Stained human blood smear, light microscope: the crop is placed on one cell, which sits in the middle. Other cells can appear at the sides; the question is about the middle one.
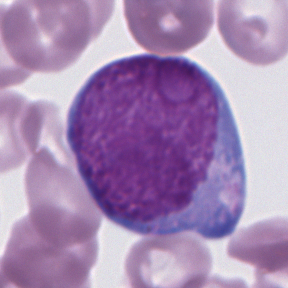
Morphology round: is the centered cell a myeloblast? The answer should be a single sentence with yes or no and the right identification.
Yes, the middle cell is classified as a myeloblast.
